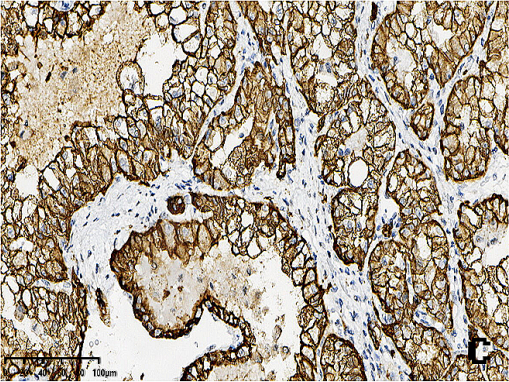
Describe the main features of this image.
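These are tumor cells arranged in nests and lining cyst-like spaces, separated by pale bluish fibrovascular strands. The tumor cells carry a strong brown stain that outlines their membranes, giving a sharp chicken-wire pattern around each cell.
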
